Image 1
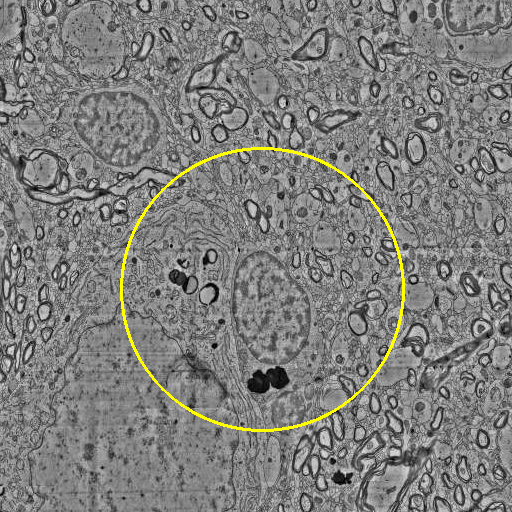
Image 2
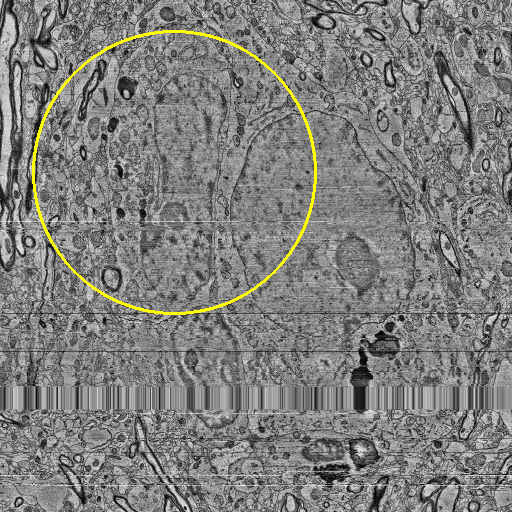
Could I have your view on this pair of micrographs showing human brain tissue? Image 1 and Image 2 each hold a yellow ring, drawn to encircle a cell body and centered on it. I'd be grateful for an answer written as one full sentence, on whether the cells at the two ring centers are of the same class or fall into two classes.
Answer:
The cells at the centers of the two rings fall into two classes.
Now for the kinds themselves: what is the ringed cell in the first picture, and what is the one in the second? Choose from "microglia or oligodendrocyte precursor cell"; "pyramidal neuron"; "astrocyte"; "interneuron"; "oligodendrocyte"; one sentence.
Here the first cell is an oligodendrocyte and the second cell is an interneuron.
